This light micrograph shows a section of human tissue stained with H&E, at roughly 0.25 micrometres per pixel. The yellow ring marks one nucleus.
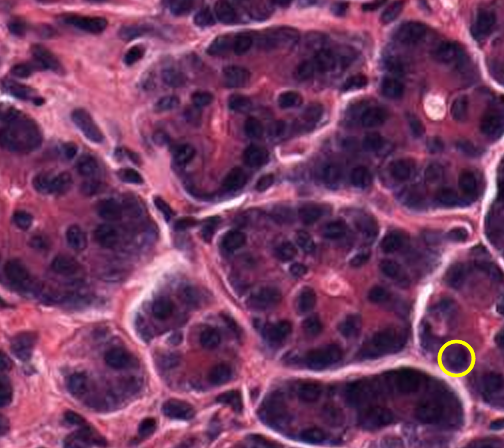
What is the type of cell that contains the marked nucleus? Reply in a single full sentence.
To a pancreatic acinar cell belongs the marked nucleus.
